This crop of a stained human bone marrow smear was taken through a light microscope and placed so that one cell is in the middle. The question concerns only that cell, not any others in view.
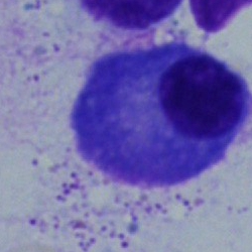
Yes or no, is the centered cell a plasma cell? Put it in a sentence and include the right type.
Yes, the cell in the middle of the view is a plasma cell.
